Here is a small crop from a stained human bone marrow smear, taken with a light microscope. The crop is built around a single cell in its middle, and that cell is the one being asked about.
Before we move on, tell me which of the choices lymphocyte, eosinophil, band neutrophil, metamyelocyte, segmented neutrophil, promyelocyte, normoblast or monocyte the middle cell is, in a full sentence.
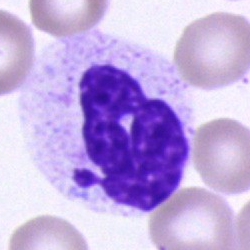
The cell in the middle of the field of view is a segmented neutrophil.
